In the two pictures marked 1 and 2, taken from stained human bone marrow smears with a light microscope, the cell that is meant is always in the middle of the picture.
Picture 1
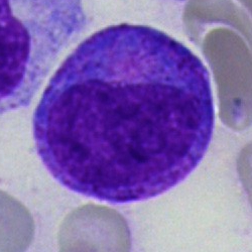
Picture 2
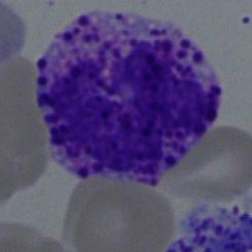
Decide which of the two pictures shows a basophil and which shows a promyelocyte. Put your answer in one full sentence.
It is picture 1 that shows a promyelocyte, and picture 2 that shows a basophil.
